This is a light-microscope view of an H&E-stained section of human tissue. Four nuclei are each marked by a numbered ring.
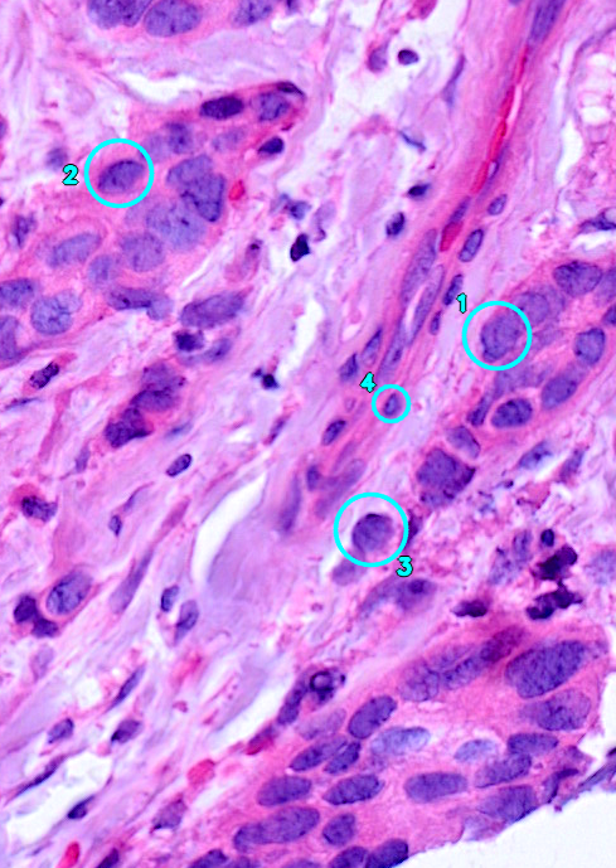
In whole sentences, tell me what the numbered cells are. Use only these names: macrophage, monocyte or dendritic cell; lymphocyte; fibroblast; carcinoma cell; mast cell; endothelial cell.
Cells 1, 2 and 3 are carcinoma cells. Cell 4 is an endothelial cell.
